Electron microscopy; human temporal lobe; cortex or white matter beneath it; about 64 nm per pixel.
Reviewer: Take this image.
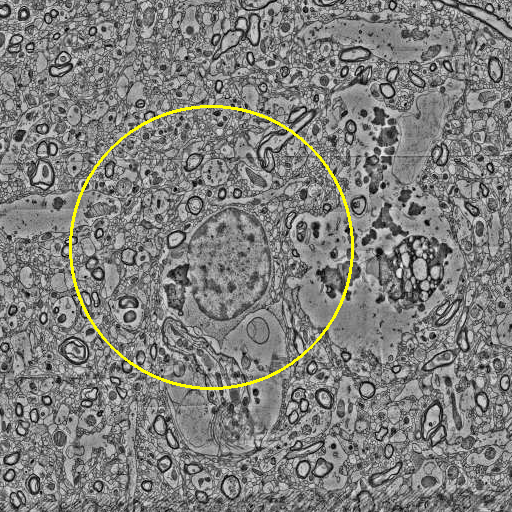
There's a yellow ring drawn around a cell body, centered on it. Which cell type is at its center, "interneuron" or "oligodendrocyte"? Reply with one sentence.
At the center of the yellow ring is an oligodendrocyte.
